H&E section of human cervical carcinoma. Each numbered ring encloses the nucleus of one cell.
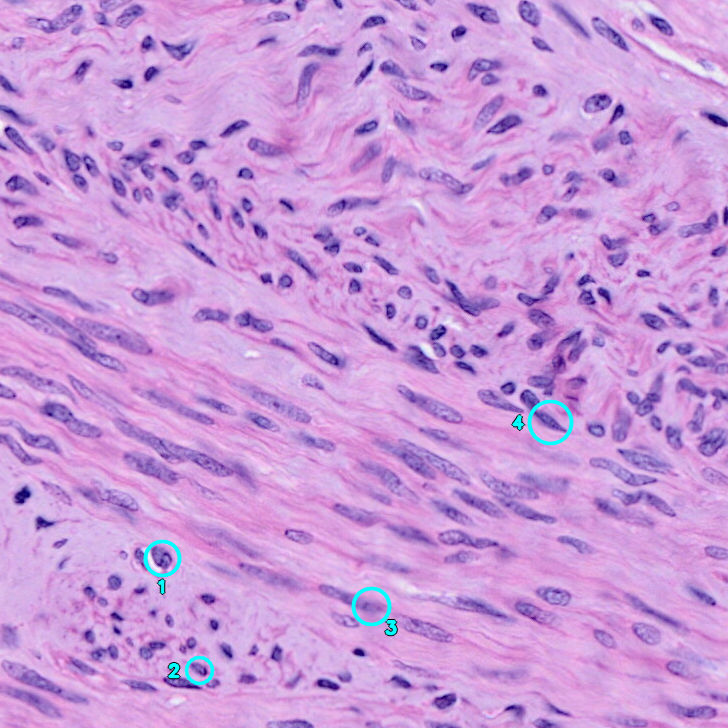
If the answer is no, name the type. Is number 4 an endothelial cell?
No, it is a fibroblast.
